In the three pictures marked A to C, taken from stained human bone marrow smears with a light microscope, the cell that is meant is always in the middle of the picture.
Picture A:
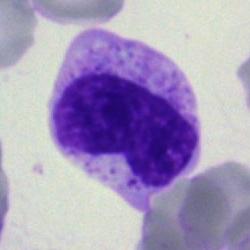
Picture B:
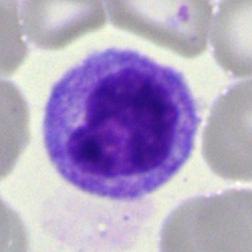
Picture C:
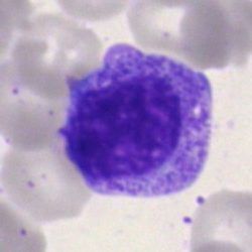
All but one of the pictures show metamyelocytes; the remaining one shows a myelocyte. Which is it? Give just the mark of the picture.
C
